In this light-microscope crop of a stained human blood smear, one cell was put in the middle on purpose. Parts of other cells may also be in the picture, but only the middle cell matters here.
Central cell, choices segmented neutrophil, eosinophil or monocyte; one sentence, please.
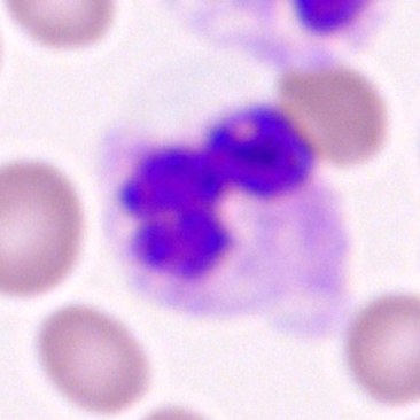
The cell nearest the centre of this crop is a segmented neutrophil.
